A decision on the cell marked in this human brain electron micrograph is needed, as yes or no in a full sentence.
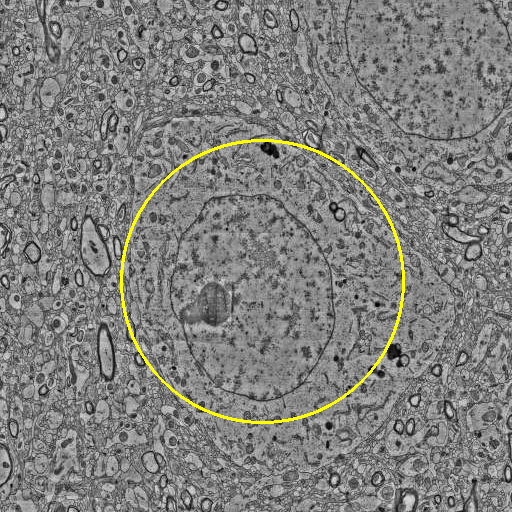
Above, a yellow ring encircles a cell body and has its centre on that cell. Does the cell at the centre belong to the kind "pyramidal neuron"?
Yes, the kind given fits the cell at the centre of the ring in the picture.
